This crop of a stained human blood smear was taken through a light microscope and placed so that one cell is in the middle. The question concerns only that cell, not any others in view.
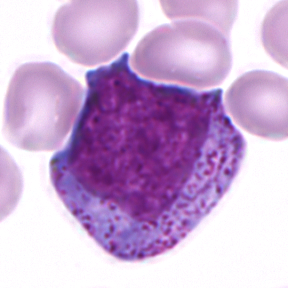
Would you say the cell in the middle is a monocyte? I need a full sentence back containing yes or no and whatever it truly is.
No, instead of a monocyte, the centred cell represents a promyelocyte.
